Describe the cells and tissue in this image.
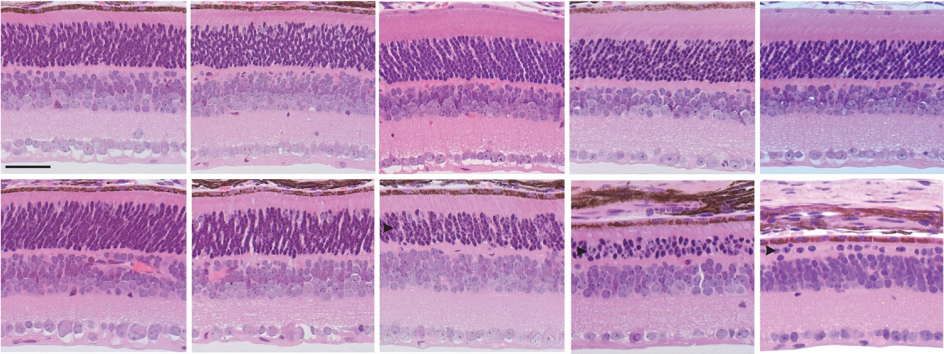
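A brown pigmented band lines the outer surface. The outer nuclear layer is thick, made of many rows of small, densely packed, dark purple nuclei; the inner nuclear layer has larger, paler, looser nuclei; the ganglion cell layer is a single sparse row along the inner edge, with pink fibrous layers between. In the upper row all layers stay of similar thickness. In the lower row the outer nuclear layer thins progressively until about one row of nuclei remains beneath disordered pigmented tissue, while the inner layers are preserved.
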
